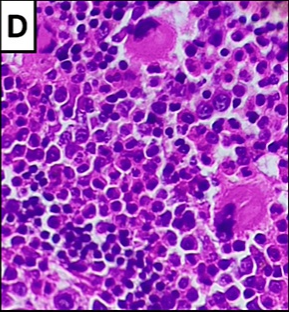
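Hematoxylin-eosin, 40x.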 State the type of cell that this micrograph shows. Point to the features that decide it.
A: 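Two very large cells with abundant pink cytoplasm and large lobulated nuclei. They are many times larger than the surrounding small round cells. The answer: megakaryocytes.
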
